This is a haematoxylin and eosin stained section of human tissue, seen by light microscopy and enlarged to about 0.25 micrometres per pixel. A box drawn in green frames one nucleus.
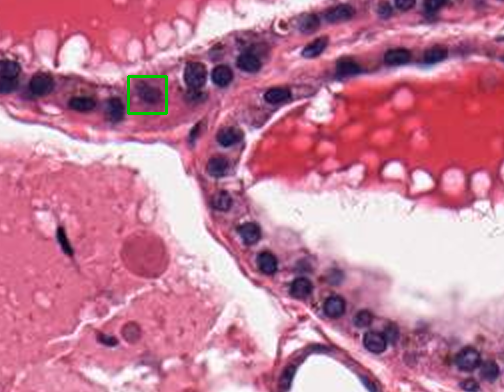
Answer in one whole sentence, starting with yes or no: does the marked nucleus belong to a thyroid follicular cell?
Yes, the marked nucleus is that of a thyroid follicular cell in this section.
